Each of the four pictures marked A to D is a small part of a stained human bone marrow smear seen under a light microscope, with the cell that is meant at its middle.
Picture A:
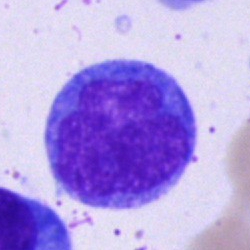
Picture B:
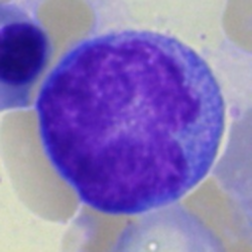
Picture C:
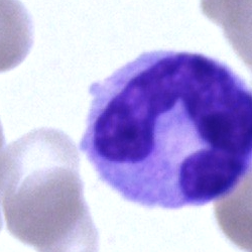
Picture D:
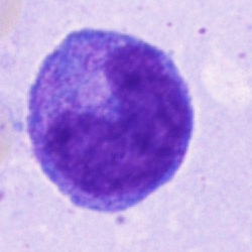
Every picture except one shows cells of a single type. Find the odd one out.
D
